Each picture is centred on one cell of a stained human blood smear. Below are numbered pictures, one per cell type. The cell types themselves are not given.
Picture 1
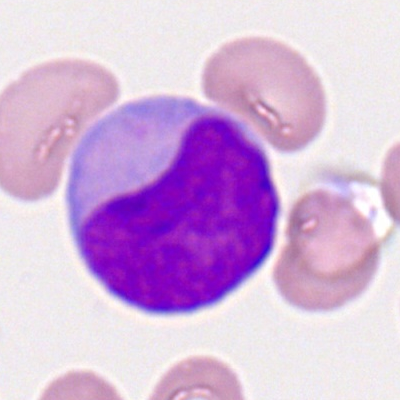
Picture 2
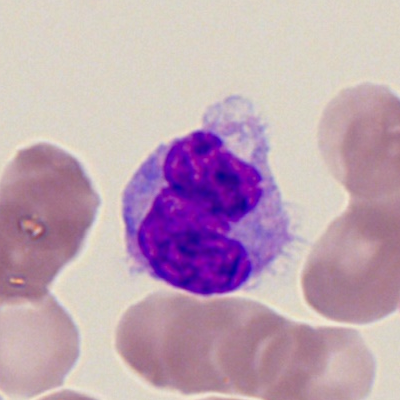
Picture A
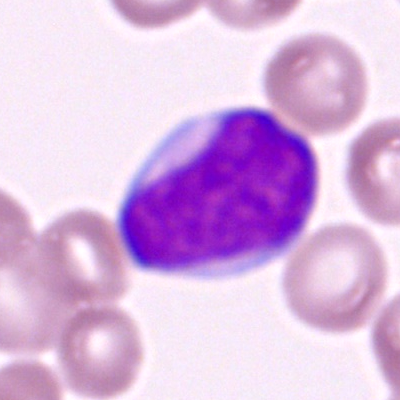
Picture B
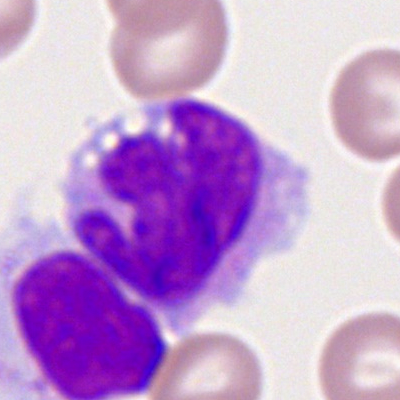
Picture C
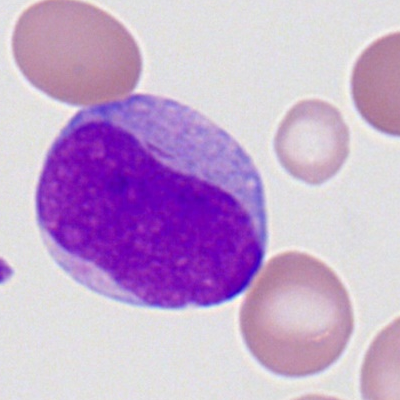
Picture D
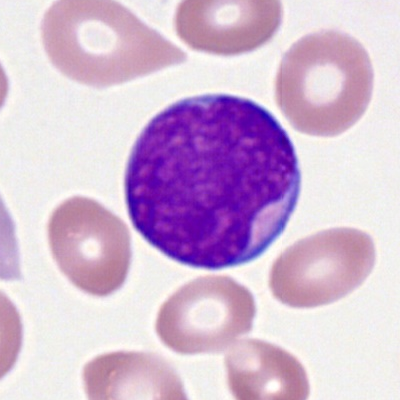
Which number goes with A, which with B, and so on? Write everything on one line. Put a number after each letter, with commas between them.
A 1, B 2, C 1, D 1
